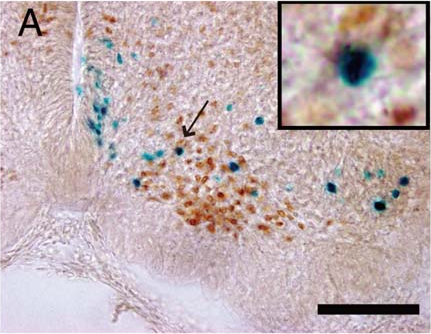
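Transverse section of the ventral neural tube at the level of the motor column, with motoneurons in a dense cluster of brown-stained nuclei in the ventral grey matter. A slit-like central canal lies at the left edge, and a band of scattered blue-green labelled nuclei runs beside it. Further blue-green labelled nuclei are scattered laterally, some among the brown cluster and some beyond it toward the lateral edge. The ventral white matter and meningeal surface appear pale at the lower left.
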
